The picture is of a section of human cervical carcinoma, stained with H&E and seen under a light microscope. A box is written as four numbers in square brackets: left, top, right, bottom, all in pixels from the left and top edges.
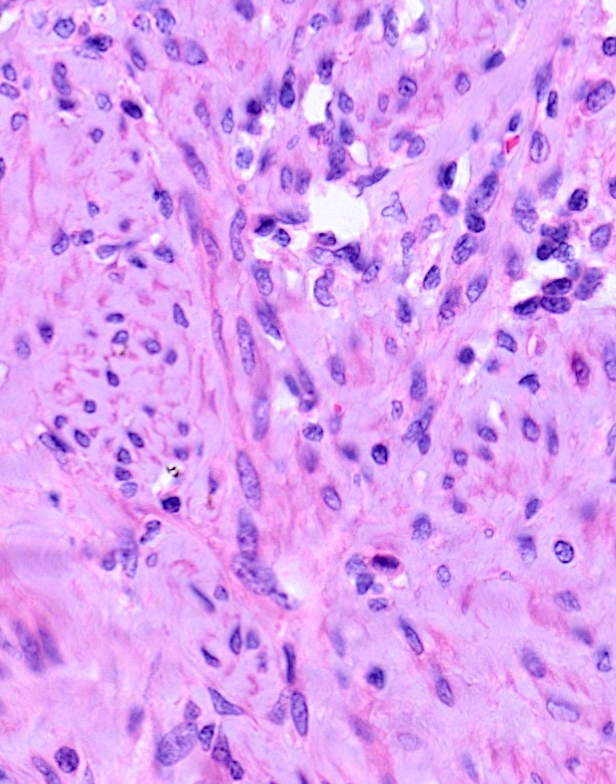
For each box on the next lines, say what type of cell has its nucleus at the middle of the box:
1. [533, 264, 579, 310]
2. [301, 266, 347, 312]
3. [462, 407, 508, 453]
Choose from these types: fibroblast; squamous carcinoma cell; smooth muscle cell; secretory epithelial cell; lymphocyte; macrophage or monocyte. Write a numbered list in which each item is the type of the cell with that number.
1. lymphocyte
2. macrophage or monocyte
3. smooth muscle cell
